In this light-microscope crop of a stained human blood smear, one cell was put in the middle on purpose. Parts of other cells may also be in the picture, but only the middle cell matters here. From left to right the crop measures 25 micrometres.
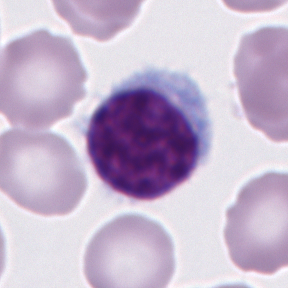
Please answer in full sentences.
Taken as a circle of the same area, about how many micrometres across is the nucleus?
Taken as a circle, the nucleus has a diameter of about 9 micrometres.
